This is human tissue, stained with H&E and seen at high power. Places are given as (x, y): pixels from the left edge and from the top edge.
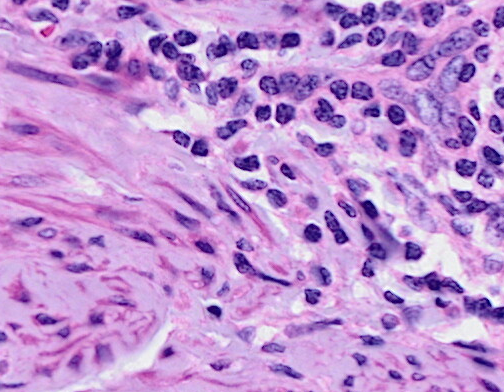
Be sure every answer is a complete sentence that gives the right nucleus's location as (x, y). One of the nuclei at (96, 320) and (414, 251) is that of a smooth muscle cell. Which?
The nucleus located at (96, 320) is the one held within a smooth muscle cell.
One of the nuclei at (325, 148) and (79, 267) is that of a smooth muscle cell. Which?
It is the nucleus at (79, 267) that belongs to a smooth muscle cell.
